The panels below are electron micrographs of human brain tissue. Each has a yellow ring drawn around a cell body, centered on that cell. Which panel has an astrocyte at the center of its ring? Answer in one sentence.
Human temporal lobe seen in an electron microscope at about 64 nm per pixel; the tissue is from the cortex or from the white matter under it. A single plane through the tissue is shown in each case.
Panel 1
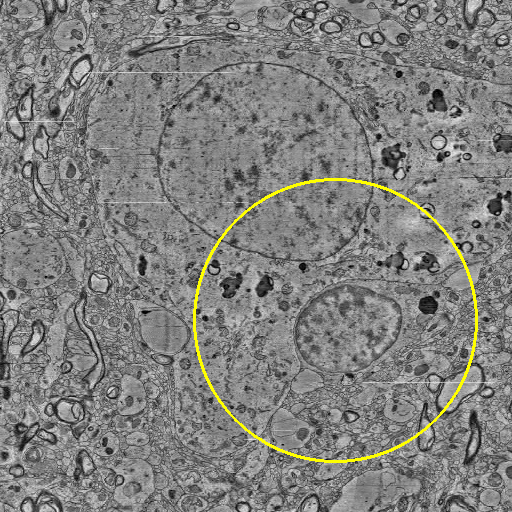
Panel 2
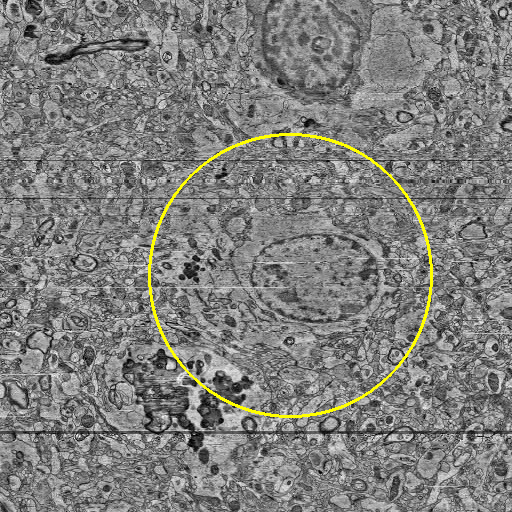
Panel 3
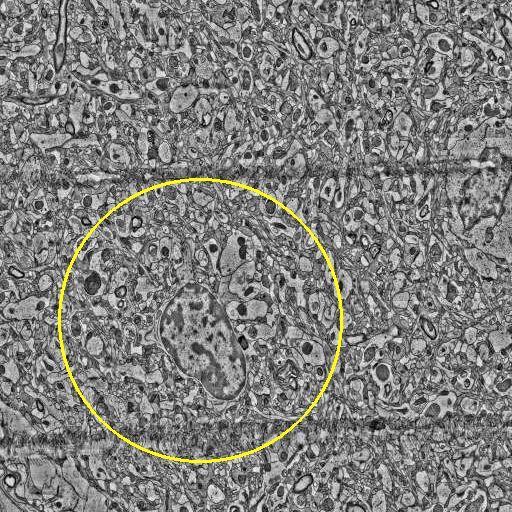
Panel 2 has it at the center of its ring.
